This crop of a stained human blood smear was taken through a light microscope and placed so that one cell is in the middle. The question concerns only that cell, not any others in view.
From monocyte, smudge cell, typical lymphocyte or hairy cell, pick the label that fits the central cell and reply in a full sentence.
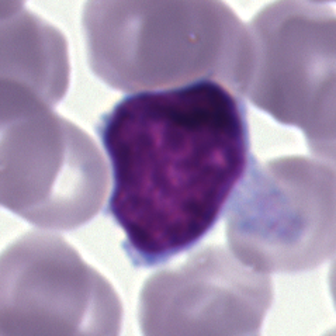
The cell shown in the center of this light-microscope crop is a typical lymphocyte.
